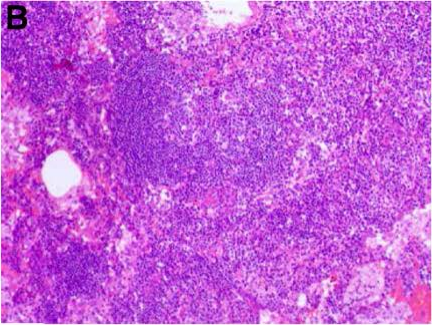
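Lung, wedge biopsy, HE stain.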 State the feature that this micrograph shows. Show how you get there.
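Lymphoid follicle. A rounded, densely packed aggregate of small dark-nucleated cells lies in the centre. Densely cellular tissue surrounds the aggregate.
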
